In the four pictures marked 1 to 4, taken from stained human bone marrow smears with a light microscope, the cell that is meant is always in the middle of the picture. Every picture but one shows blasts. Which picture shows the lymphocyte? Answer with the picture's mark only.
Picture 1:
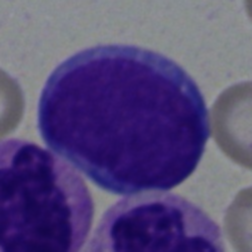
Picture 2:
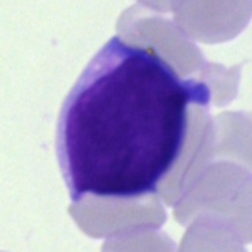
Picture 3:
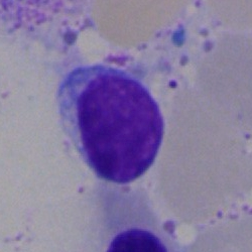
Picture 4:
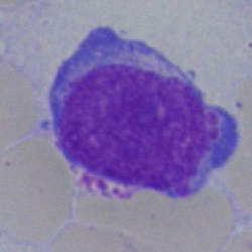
3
